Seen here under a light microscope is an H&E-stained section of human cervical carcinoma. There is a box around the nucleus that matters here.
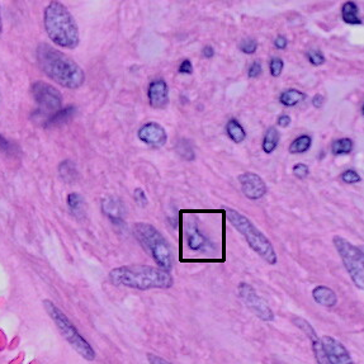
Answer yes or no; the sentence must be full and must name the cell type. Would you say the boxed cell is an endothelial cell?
No; the boxed cell should be labelled a smooth muscle cell rather than an endothelial cell.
